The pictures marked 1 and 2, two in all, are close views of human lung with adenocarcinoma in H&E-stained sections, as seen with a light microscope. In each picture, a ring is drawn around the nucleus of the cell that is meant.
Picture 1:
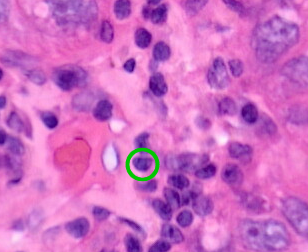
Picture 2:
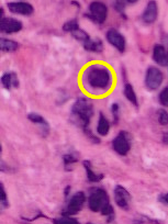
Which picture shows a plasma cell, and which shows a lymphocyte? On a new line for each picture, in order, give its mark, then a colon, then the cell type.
1: lymphocyte
2: plasma cell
